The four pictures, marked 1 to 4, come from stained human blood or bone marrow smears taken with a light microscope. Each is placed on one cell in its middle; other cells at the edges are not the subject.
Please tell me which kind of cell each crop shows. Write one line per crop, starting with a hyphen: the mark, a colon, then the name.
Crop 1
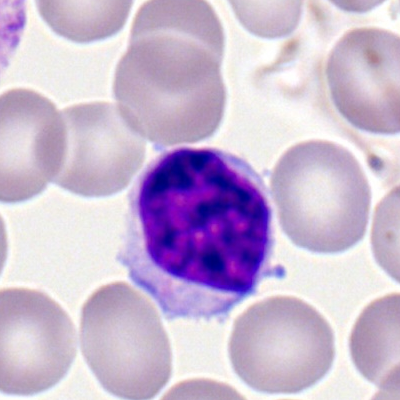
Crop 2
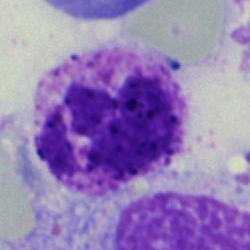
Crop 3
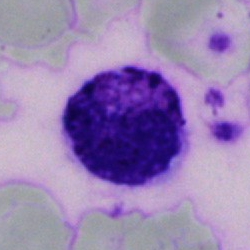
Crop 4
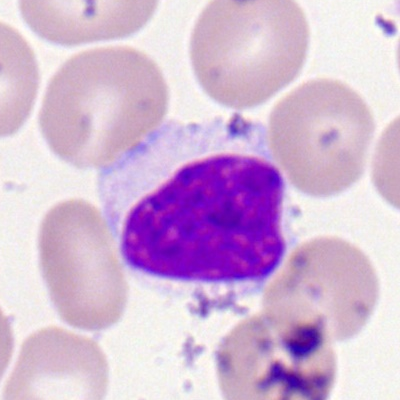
- 1: lymphocyte
- 2: basophil
- 3: basophil
- 4: lymphocyte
